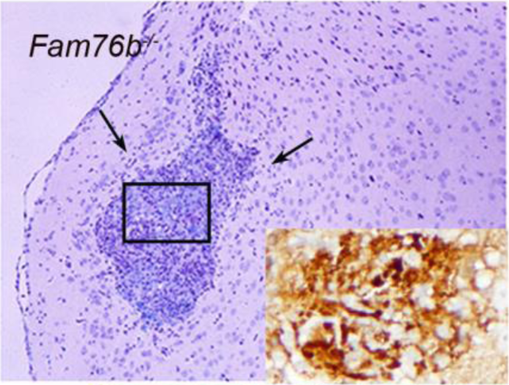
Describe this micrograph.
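The infiltrate is made of tightly packed small cells with dark purple nuclei, sharply set off from the more sparsely cellular brain tissue around it. The inset shows crowded brown-stained cells with irregular, clumped cytoplasm.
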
